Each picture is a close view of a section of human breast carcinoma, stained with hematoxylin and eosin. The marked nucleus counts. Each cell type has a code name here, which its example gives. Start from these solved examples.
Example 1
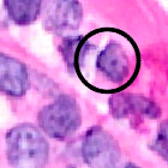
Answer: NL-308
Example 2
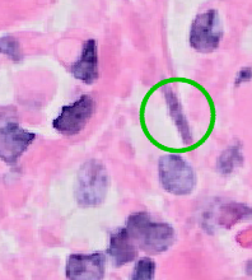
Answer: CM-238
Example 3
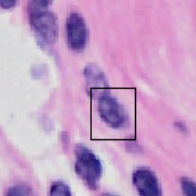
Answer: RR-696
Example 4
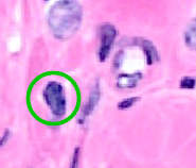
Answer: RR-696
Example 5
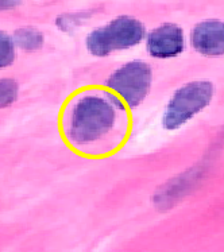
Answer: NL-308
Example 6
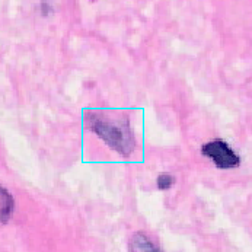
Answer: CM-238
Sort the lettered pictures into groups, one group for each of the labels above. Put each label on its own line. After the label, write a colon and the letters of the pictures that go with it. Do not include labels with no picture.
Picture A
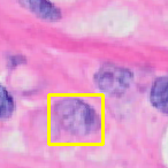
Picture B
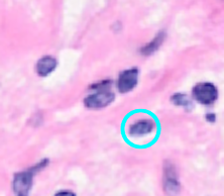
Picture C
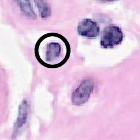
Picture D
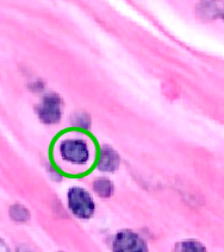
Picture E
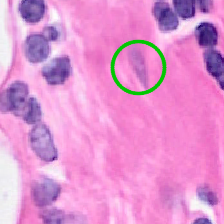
NL-308: A
CM-238: E
RR-696: B, C, D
